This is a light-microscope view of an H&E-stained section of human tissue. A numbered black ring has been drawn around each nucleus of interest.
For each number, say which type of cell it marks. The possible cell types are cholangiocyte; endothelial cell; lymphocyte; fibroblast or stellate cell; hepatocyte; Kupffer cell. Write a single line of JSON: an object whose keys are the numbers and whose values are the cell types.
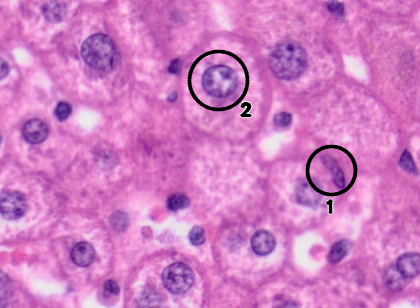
{"1": "Kupffer cell", "2": "hepatocyte"}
